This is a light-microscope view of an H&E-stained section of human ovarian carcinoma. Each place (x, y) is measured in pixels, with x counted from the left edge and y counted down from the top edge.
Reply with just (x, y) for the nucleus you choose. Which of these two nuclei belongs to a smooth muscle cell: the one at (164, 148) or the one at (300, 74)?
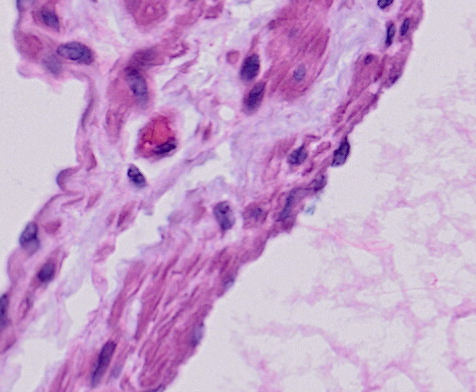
(300, 74)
